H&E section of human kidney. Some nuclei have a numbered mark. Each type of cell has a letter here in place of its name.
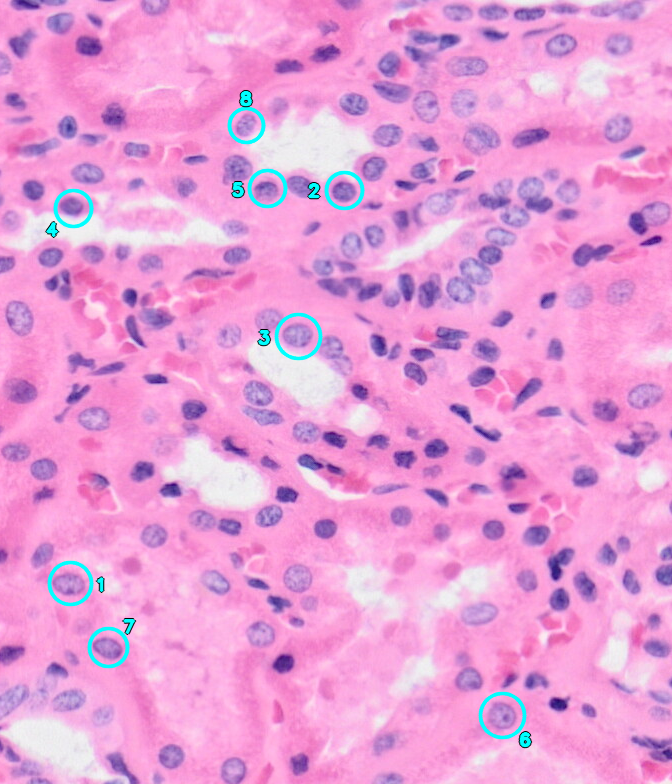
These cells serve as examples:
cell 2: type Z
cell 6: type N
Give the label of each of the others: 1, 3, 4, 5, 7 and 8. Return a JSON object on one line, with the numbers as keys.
{"1": "type N", "3": "type Z", "4": "type Z", "5": "type Z", "7": "type N", "8": "type Z"}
